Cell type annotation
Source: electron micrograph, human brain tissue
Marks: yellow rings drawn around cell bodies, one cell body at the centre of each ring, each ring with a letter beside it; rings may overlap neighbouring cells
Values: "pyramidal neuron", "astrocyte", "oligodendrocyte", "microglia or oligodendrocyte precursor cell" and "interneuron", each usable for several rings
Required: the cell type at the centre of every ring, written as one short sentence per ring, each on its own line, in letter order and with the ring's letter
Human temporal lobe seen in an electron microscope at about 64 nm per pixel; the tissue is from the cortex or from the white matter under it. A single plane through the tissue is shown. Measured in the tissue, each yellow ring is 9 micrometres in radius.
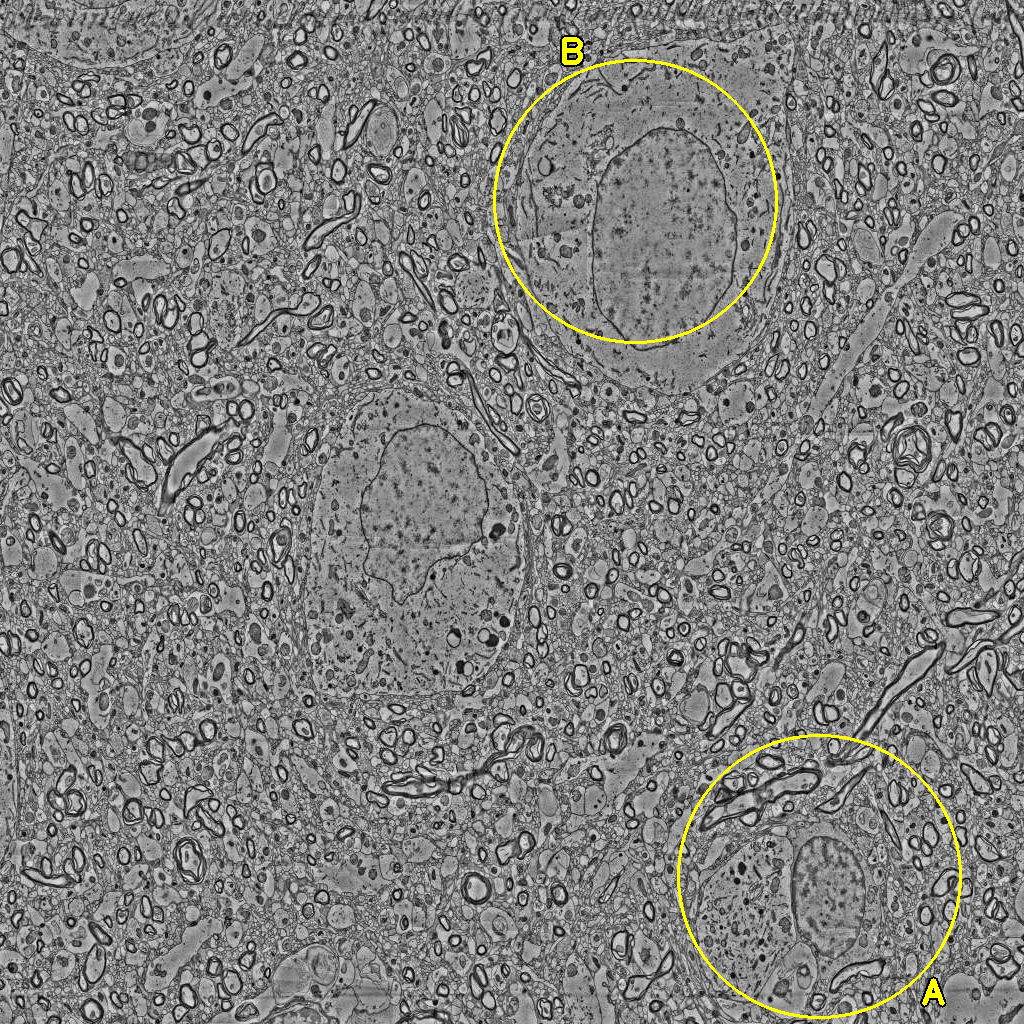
Ring A is annotated as an oligodendrocyte.
Ring B is annotated as a pyramidal neuron.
